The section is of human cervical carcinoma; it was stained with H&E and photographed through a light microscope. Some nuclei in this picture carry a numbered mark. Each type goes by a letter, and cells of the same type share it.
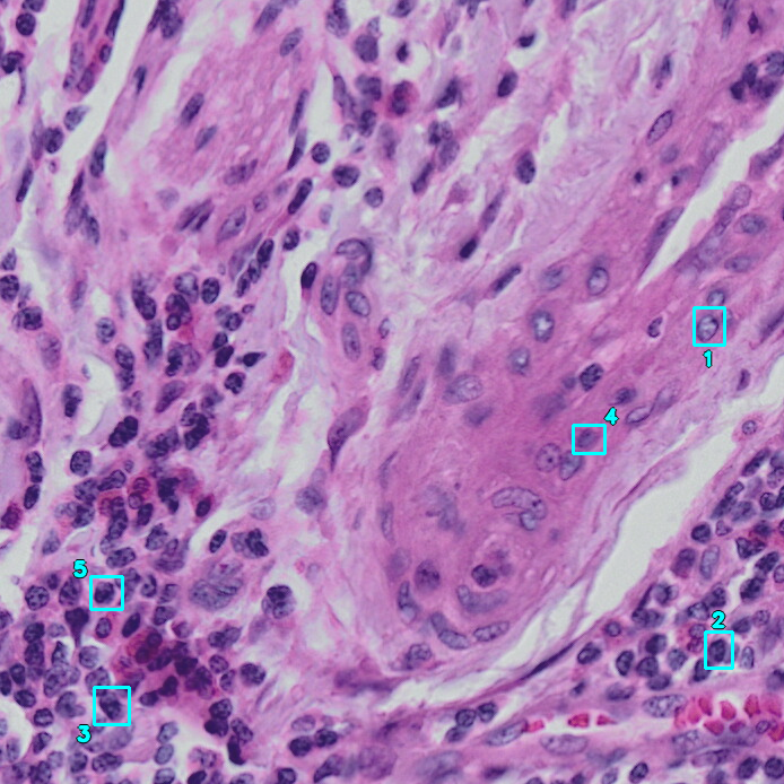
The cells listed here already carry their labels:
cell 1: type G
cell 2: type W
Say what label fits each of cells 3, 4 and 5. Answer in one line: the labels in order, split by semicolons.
type W; type G; type W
